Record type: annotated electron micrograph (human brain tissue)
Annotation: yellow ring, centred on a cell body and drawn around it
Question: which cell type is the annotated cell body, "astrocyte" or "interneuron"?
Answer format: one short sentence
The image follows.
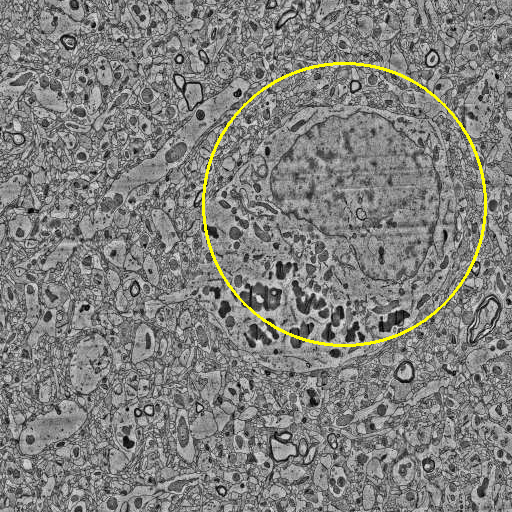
The annotated cell body is that of an interneuron.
